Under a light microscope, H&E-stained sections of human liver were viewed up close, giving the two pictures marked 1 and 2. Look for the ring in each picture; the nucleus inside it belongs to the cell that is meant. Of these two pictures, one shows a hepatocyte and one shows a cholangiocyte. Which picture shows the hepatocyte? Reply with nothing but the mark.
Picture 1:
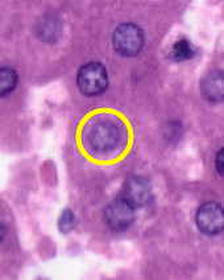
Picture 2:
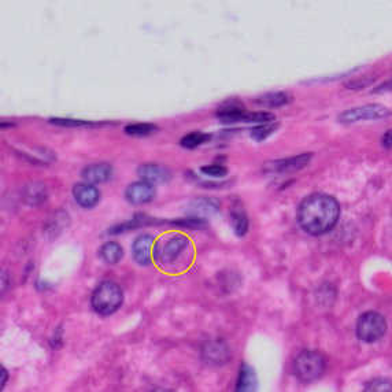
1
